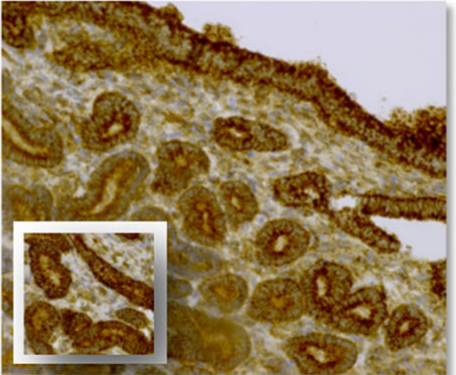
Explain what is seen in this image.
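This is endometrium with a tall columnar surface epithelium on top and numerous glands with small central lumina in the stroma below. The stroma between the glands is paler, with scattered bluish nuclei.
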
